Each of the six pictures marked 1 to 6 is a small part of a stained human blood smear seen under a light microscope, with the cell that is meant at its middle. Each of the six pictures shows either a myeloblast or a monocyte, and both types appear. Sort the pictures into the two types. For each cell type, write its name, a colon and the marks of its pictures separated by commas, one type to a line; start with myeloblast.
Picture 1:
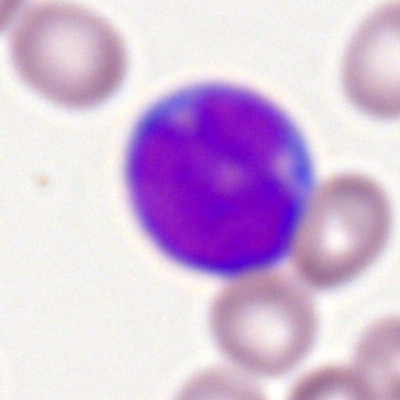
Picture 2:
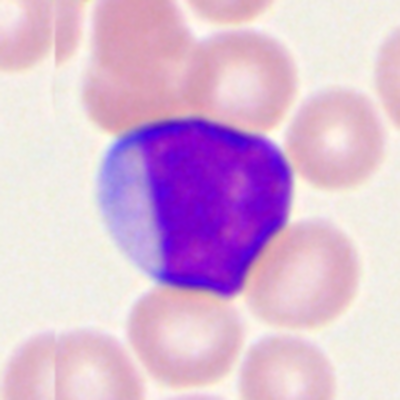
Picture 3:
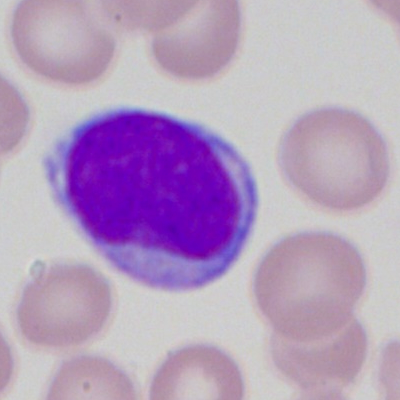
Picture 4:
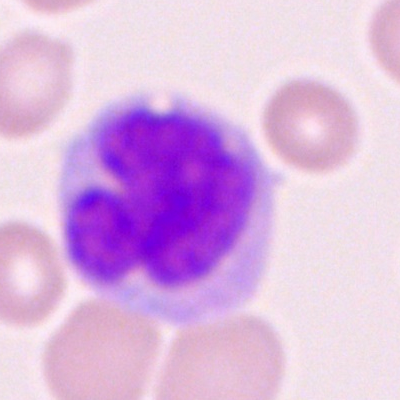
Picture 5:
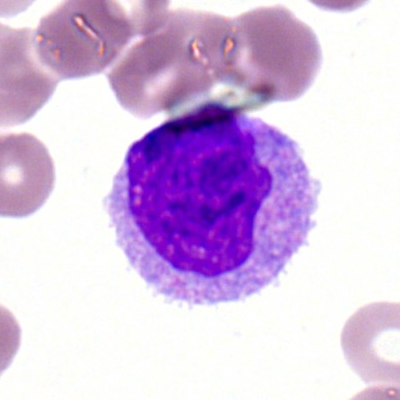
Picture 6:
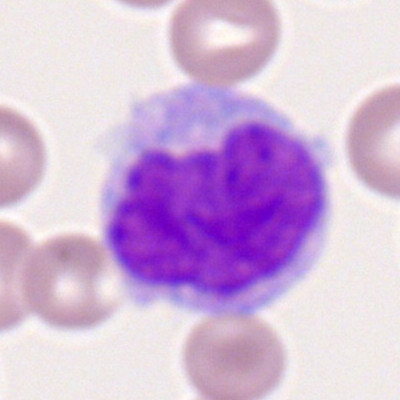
myeloblast: 1, 2, 3
monocyte: 4, 5, 6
